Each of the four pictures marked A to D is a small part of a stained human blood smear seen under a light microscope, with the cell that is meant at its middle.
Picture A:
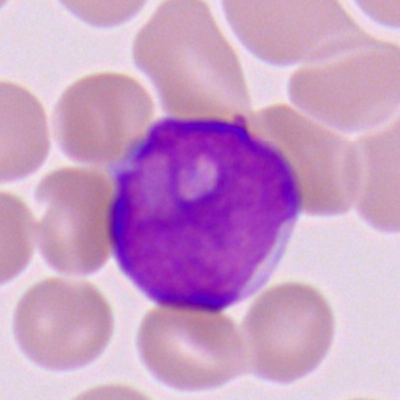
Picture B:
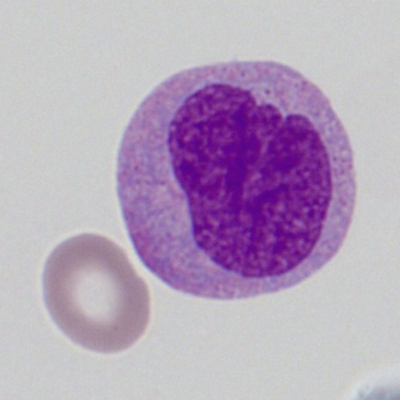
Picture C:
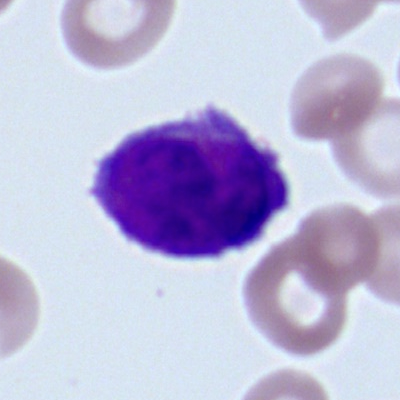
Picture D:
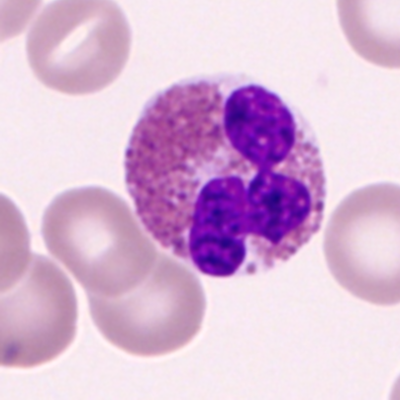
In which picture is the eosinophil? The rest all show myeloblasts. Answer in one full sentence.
It is picture D that shows the eosinophil.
